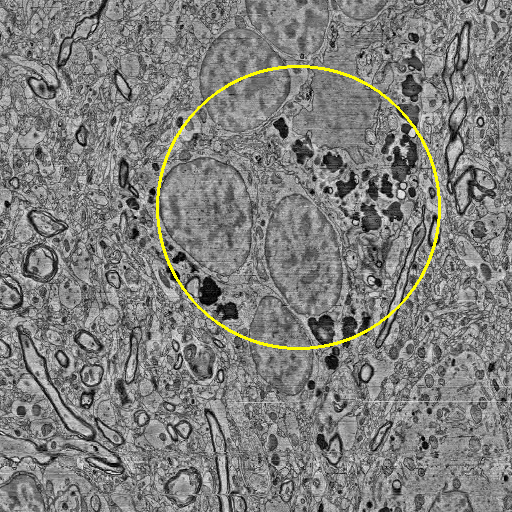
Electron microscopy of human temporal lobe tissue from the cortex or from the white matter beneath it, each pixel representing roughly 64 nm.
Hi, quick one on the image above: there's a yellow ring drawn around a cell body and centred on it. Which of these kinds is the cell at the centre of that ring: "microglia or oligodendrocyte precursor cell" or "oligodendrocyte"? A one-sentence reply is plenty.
The cell at the centre of the ring is an oligodendrocyte.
